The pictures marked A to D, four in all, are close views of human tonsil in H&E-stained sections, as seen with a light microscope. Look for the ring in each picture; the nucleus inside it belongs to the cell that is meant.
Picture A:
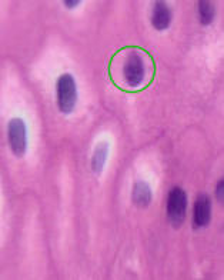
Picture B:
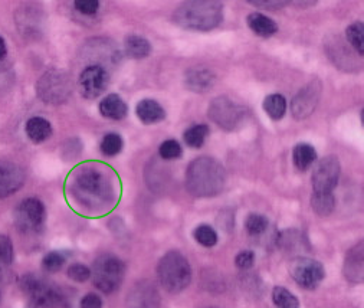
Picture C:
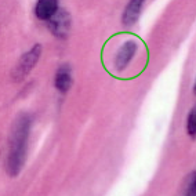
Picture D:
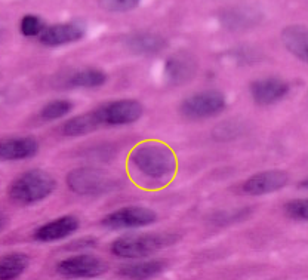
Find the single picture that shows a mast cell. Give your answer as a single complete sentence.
The mast cell is the one in picture C.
